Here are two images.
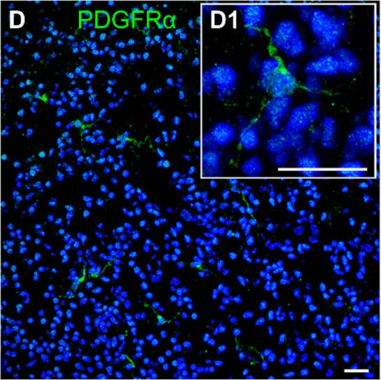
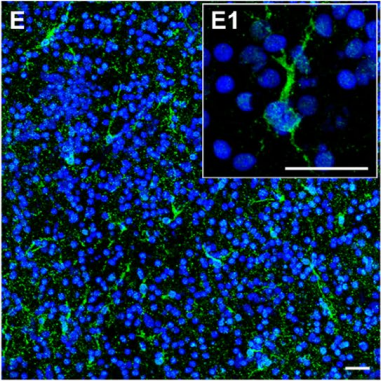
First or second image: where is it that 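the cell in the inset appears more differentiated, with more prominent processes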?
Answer: The second image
